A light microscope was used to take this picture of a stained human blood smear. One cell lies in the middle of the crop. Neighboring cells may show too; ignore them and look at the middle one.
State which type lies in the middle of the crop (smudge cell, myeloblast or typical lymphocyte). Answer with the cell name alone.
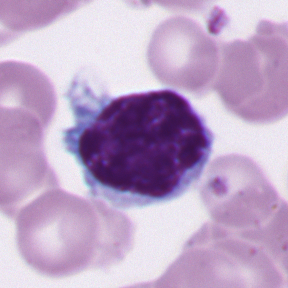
typical lymphocyte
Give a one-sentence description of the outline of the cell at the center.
The margin of this cell is irregular, showing raggedness or projections instead of smoothness.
